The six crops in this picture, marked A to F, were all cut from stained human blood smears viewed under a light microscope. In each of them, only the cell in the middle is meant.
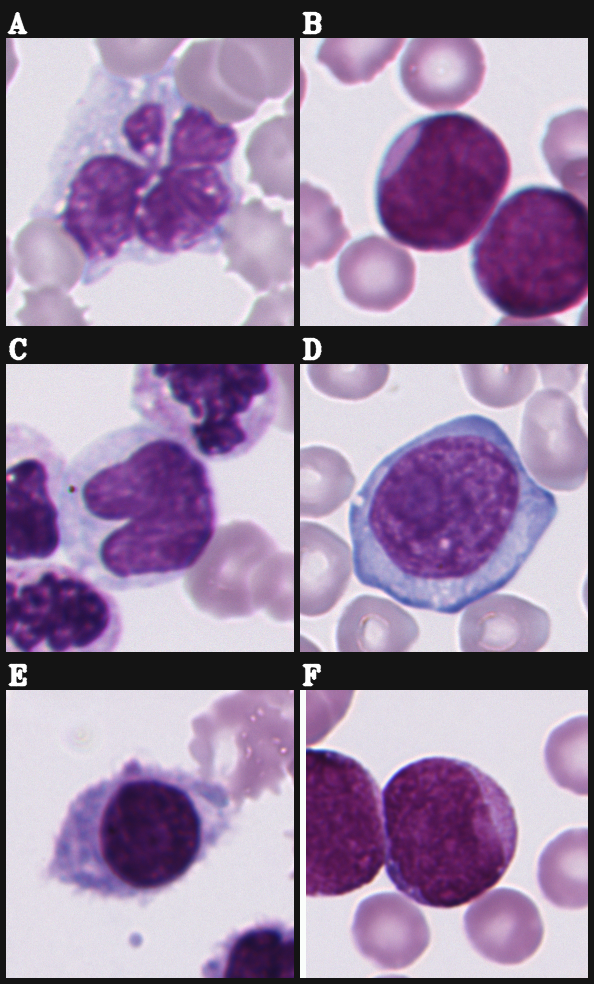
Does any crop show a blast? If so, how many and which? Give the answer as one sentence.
Where blasts are concerned, three crops show them, namely B, D and F.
